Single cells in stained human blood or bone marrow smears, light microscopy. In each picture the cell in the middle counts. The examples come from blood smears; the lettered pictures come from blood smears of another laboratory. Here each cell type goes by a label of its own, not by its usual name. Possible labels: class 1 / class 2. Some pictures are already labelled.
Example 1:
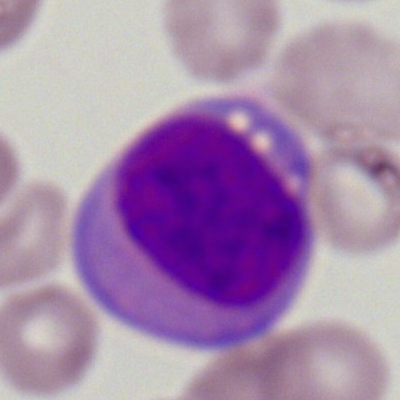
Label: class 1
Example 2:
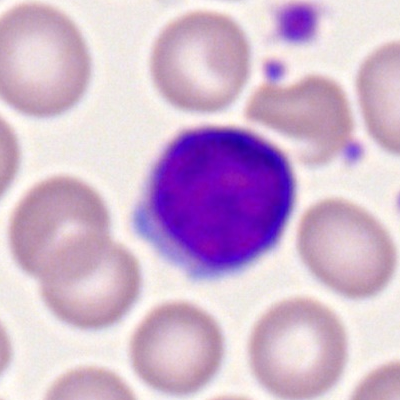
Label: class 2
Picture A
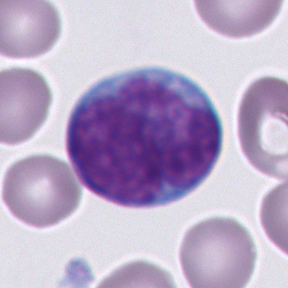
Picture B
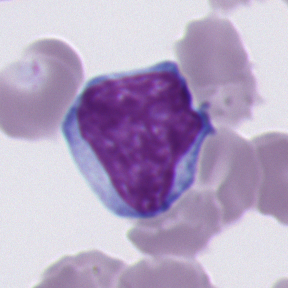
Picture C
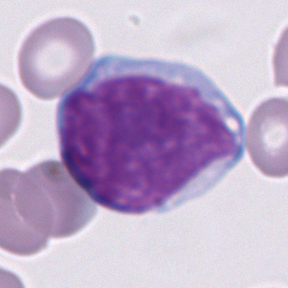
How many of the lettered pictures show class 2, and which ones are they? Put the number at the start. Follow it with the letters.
Count: 1 (B)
